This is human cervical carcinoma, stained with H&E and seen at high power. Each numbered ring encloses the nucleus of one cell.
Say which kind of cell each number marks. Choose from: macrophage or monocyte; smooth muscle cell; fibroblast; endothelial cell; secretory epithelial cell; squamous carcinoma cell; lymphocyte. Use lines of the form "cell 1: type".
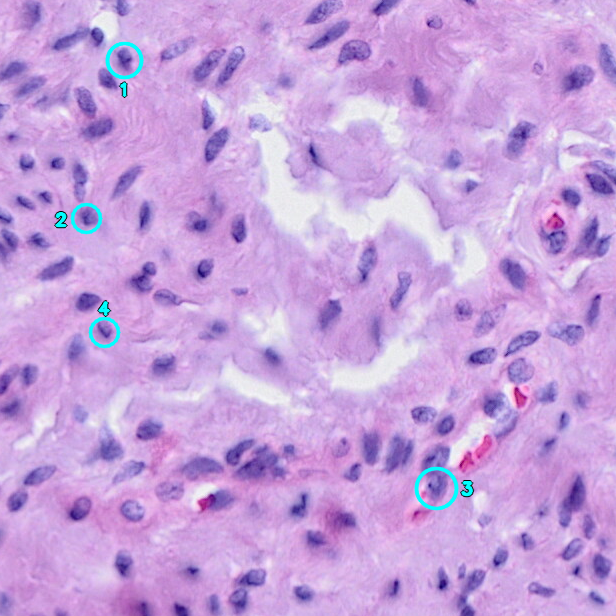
cell 1: fibroblast
cell 2: fibroblast
cell 3: endothelial cell
cell 4: fibroblast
